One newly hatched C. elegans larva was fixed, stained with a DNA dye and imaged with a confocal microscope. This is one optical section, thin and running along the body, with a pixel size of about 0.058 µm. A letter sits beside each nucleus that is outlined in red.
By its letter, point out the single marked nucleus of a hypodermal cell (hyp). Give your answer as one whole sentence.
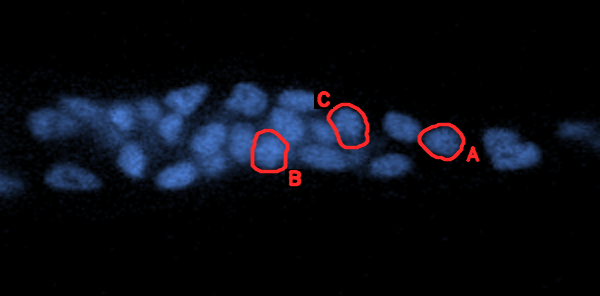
Nucleus A belongs to a hypodermal cell (hyp).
